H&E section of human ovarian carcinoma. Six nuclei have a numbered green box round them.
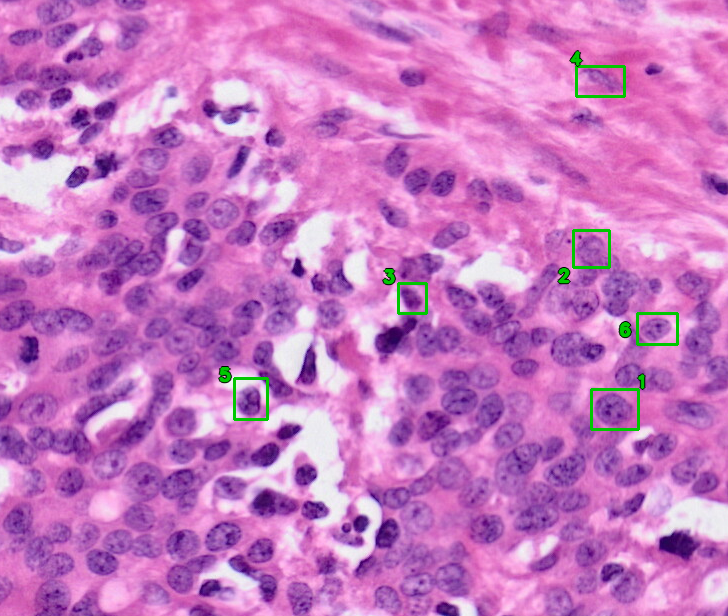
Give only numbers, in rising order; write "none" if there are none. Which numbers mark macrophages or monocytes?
6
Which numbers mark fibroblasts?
4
